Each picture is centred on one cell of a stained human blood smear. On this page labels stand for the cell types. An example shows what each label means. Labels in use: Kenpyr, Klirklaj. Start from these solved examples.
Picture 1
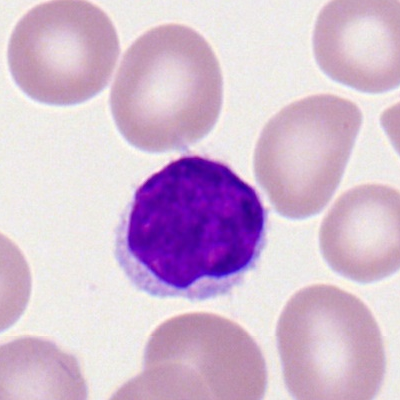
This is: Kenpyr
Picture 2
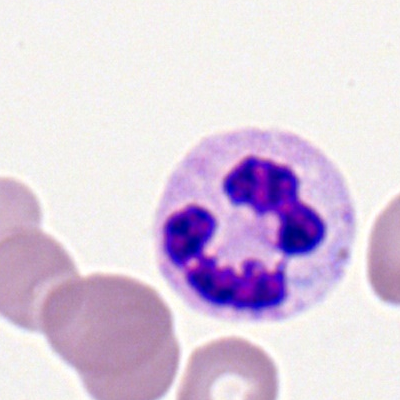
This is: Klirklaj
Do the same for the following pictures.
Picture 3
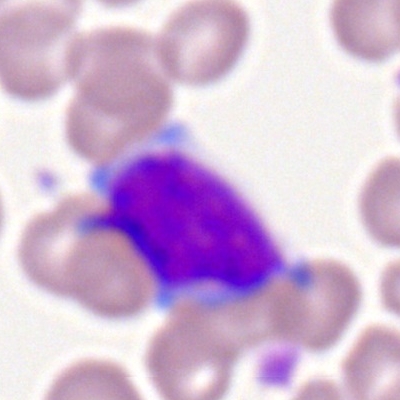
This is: Kenpyr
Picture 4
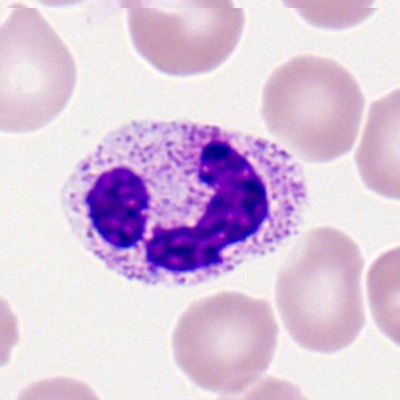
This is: Klirklaj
